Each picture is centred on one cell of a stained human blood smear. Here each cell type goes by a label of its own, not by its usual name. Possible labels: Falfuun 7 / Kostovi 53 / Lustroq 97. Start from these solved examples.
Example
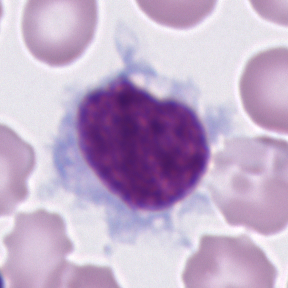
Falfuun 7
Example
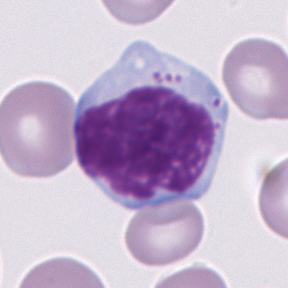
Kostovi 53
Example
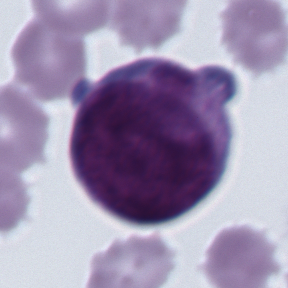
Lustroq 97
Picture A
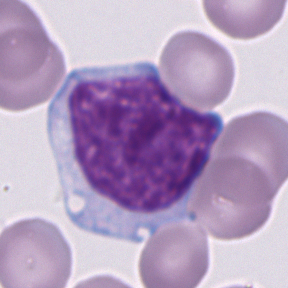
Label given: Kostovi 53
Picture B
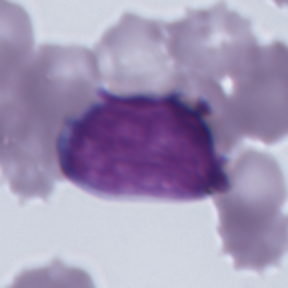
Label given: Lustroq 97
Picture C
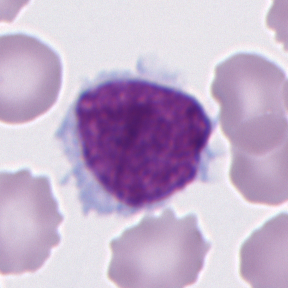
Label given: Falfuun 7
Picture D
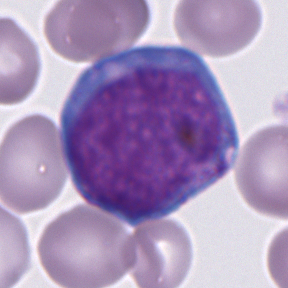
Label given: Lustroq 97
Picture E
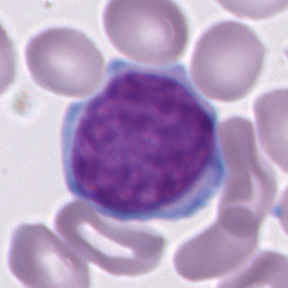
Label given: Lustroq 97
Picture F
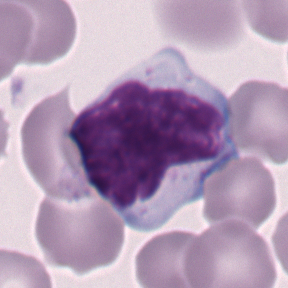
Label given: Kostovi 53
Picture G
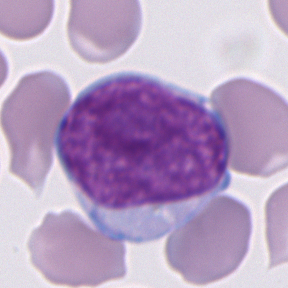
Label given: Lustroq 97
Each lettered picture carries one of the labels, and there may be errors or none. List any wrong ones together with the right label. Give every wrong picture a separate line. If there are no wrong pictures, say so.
Wrong: A (Kostovi 53); correct: Lustroq 97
